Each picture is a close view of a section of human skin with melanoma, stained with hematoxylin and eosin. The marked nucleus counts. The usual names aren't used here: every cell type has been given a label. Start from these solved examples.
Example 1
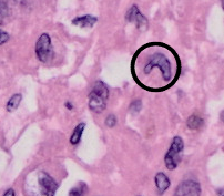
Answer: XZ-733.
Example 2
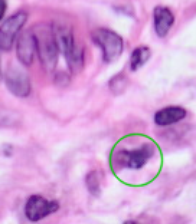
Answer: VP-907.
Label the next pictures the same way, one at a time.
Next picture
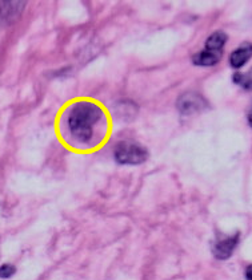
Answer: XZ-733.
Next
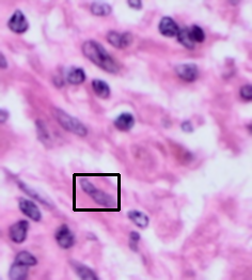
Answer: XZ-733.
